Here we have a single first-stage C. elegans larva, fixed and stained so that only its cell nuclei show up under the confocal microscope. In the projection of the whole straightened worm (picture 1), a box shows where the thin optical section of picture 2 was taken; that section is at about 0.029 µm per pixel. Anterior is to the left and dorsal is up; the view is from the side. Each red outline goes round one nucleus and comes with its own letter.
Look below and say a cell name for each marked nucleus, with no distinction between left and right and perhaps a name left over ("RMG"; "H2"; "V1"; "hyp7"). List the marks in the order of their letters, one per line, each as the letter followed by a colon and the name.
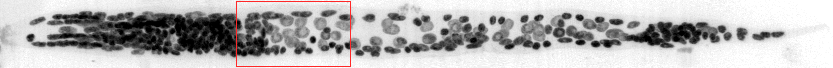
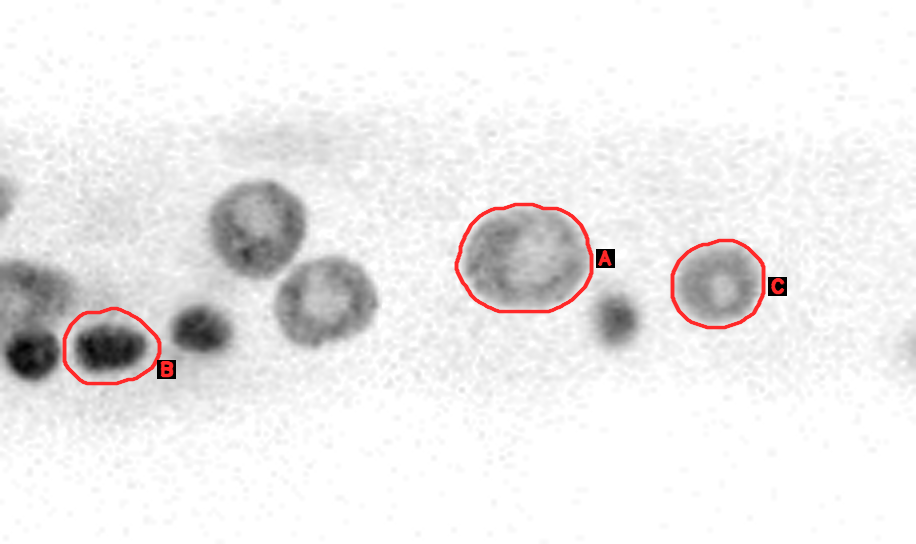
A: hyp7
B: RMG
C: V1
